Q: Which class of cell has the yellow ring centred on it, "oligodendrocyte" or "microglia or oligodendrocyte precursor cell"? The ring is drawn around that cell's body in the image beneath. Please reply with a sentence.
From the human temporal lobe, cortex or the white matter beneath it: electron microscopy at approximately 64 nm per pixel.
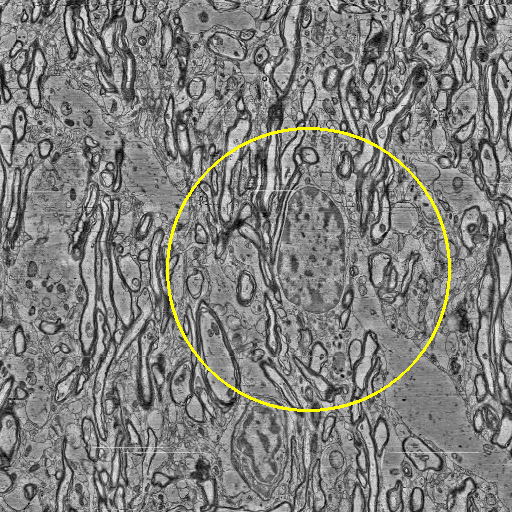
It is centred on a microglial cell or oligodendrocyte precursor cell.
